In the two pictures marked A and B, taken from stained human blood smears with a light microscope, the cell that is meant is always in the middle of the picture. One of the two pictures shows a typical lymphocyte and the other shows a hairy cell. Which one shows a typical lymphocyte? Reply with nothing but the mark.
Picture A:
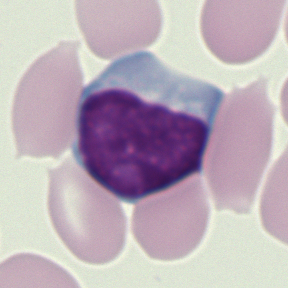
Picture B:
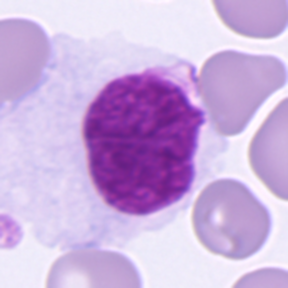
A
